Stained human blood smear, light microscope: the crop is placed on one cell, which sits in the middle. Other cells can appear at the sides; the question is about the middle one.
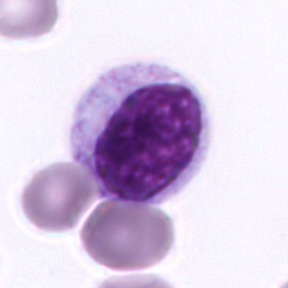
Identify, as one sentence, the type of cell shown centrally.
The central cell in this smear crop is a metamyelocyte.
